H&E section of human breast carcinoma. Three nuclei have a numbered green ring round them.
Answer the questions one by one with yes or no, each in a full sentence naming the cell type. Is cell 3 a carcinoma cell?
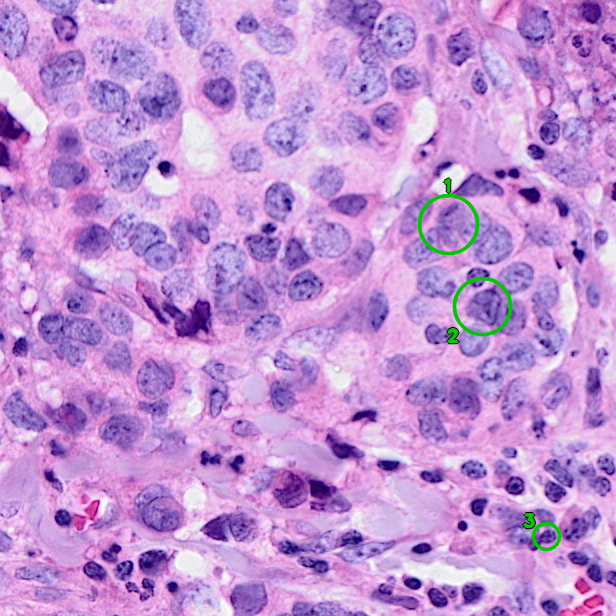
No, number 3 identifies a lymphocyte, not a carcinoma cell.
